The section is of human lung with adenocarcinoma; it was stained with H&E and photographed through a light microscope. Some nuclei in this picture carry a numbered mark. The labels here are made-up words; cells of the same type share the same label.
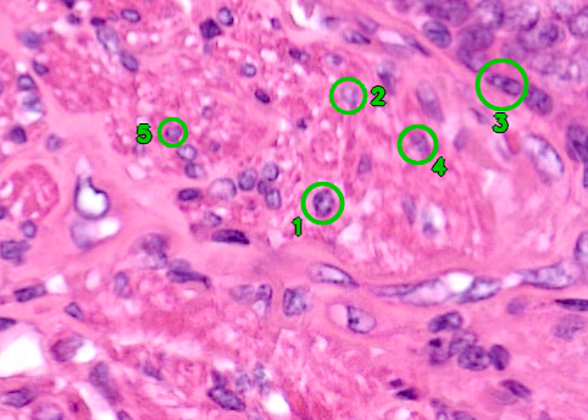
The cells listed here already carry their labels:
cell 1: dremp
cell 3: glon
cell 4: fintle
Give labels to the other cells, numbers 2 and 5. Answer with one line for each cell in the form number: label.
2: fintle
5: fintle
